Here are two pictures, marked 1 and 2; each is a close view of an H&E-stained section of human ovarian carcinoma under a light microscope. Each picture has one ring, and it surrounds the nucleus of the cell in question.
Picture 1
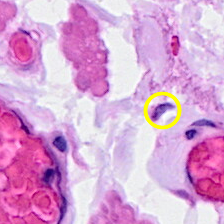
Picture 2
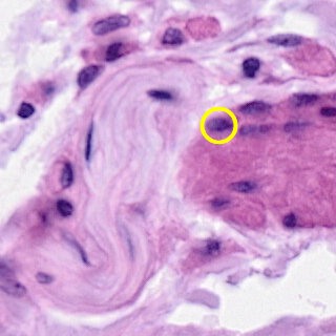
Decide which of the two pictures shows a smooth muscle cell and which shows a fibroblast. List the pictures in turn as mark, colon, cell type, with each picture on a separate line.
1: fibroblast
2: smooth muscle cell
